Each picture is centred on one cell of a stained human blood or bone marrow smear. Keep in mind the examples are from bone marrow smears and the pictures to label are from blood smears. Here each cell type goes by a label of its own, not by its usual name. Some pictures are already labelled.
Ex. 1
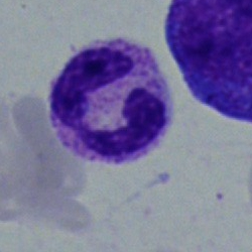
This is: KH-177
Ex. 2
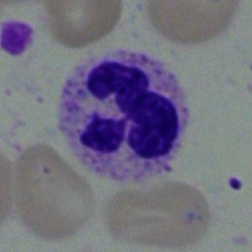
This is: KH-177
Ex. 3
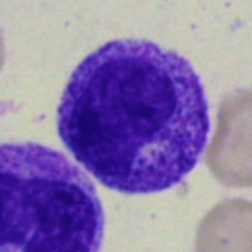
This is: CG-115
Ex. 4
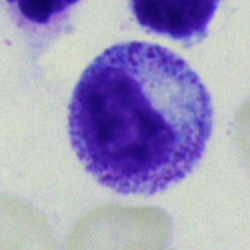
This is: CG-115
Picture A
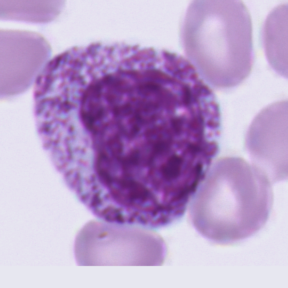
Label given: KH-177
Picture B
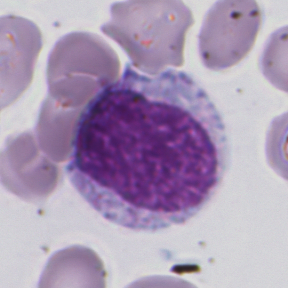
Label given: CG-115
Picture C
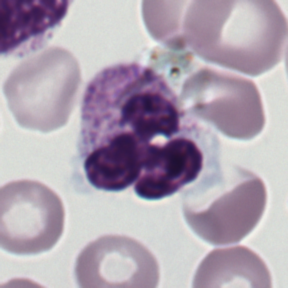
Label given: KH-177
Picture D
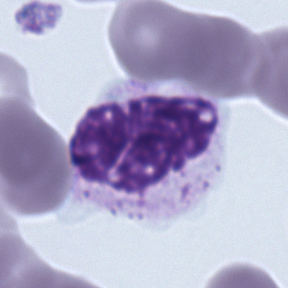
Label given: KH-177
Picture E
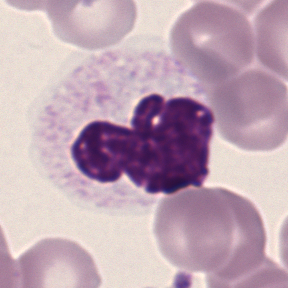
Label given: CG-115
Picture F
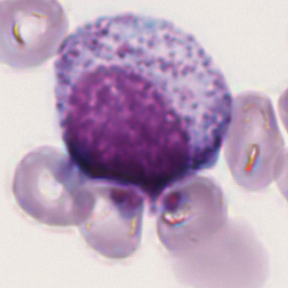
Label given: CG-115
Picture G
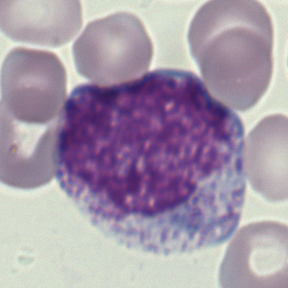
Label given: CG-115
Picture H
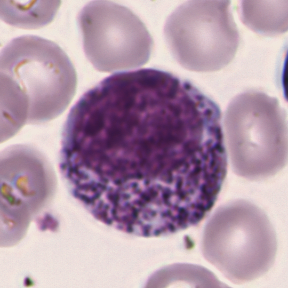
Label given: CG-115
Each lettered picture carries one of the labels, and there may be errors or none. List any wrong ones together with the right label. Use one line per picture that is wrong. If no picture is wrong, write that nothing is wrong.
A: change KH-177 to CG-115
E: change CG-115 to KH-177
